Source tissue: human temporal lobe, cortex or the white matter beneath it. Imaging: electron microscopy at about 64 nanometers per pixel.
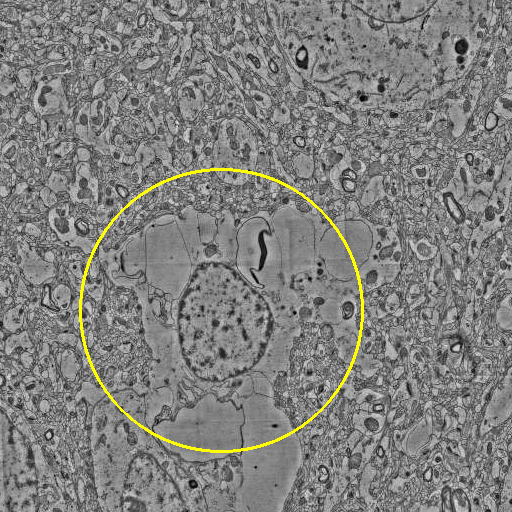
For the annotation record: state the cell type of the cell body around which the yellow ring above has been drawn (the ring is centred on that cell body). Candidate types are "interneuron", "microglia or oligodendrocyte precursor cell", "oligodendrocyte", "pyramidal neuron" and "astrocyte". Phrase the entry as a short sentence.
The ringed cell is an astrocyte.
